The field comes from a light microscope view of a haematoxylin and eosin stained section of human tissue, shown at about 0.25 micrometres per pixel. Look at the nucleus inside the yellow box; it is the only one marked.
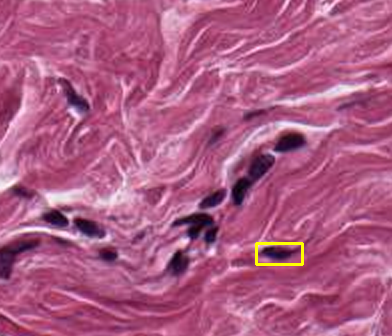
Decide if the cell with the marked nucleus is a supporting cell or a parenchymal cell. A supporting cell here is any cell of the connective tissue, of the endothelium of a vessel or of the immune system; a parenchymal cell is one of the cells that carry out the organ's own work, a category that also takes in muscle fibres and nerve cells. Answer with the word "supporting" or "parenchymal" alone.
supporting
